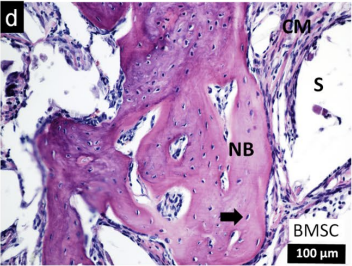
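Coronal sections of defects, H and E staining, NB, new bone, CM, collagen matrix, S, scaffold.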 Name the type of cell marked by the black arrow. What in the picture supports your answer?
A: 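The arrow points at a small cell with a dark nucleus sitting in a lacuna. Such cells are scattered singly through the pink bony matrix. On this evidence: osteocytes.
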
